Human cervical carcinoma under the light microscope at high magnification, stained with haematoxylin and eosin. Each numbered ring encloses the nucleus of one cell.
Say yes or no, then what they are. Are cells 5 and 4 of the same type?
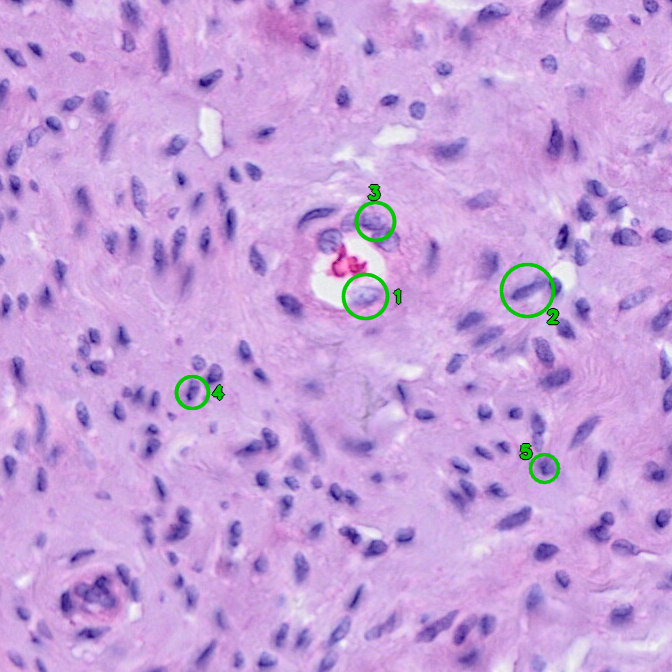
Yes, cells 5 and 4 are both fibroblasts and thus of one type.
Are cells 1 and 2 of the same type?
No, cell number 1 is an endothelial cell and cell number 2 is a fibroblast.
